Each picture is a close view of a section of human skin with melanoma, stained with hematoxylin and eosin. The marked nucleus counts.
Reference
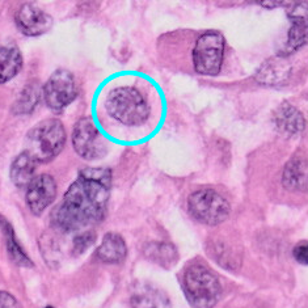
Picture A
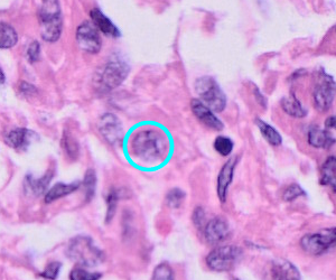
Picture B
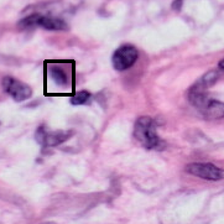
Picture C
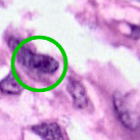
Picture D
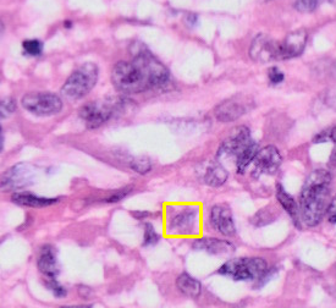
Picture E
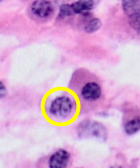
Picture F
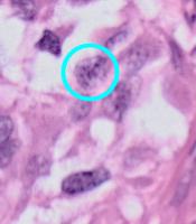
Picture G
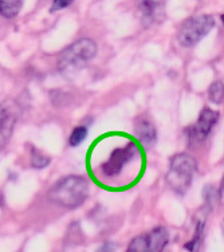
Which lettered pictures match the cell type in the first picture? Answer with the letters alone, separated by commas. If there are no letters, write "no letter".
A, C, D, F, G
